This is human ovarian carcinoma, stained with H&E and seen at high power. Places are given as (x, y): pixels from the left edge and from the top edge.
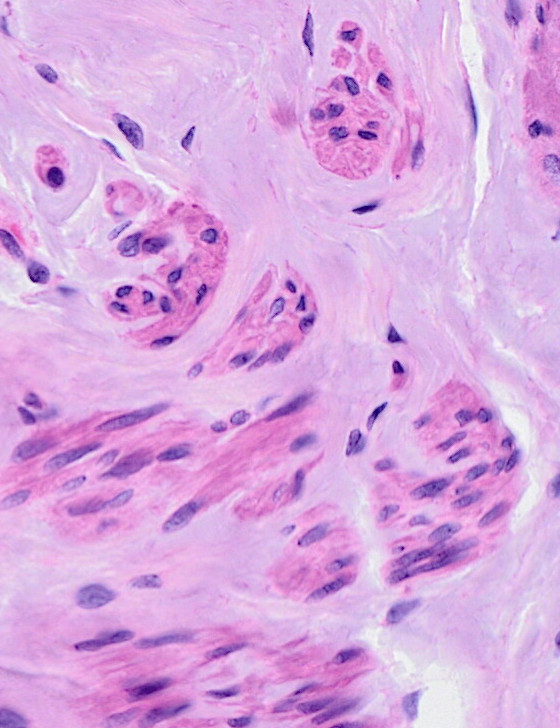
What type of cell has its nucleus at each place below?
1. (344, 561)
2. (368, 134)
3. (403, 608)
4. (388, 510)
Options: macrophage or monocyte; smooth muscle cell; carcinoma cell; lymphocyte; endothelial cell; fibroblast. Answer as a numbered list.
1. smooth muscle cell
2. smooth muscle cell
3. fibroblast
4. smooth muscle cell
